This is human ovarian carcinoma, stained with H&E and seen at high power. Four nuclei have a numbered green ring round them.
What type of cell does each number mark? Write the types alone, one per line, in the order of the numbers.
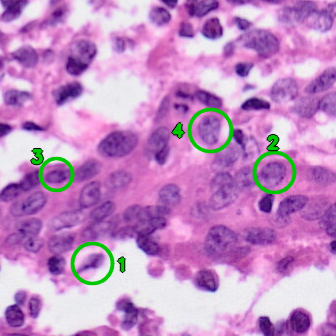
macrophage or monocyte
carcinoma cell
carcinoma cell
carcinoma cell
